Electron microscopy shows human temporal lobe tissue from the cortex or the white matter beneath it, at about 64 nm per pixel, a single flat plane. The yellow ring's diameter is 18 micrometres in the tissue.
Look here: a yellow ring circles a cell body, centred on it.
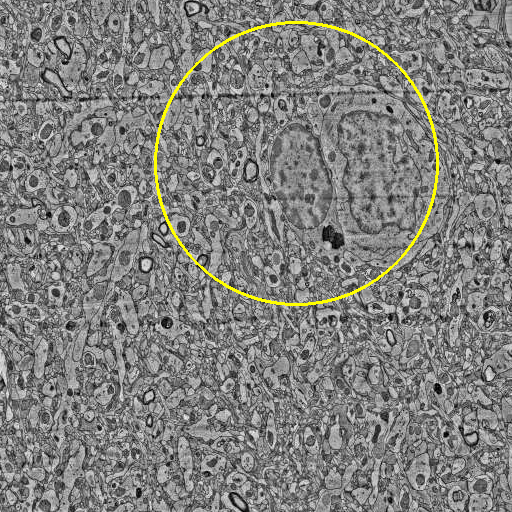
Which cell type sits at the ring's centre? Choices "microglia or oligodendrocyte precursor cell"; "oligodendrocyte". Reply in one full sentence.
The cell at the centre of the yellow ring in the picture is an oligodendrocyte.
